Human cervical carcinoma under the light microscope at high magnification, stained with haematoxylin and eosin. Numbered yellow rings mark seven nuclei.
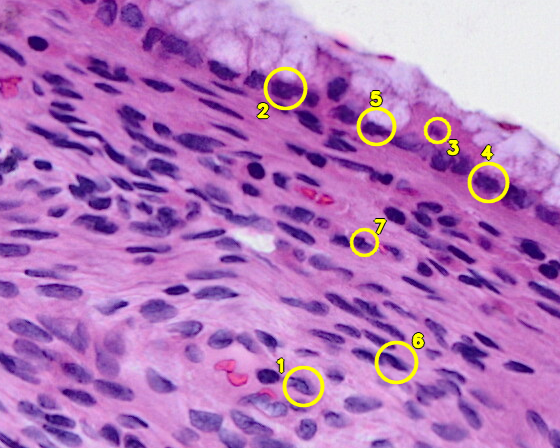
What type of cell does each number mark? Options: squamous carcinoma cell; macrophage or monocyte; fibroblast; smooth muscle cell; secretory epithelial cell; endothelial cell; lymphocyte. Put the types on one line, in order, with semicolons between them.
endothelial cell; secretory epithelial cell; secretory epithelial cell; secretory epithelial cell; secretory epithelial cell; fibroblast; endothelial cell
